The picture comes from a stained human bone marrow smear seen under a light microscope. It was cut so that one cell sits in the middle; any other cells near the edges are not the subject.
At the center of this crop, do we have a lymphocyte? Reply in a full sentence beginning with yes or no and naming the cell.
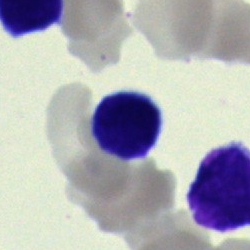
Yes, the cell found in the middle is a lymphocyte.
